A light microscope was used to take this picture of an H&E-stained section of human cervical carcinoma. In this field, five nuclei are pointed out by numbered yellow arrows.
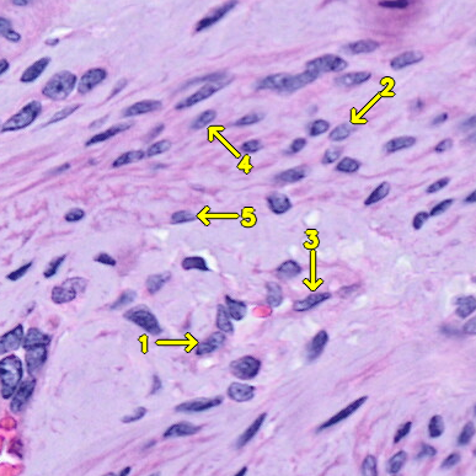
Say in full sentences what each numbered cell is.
Cells 1 and 3 are endothelial cells. Cells 2, 4 and 5 are smooth muscle cells.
